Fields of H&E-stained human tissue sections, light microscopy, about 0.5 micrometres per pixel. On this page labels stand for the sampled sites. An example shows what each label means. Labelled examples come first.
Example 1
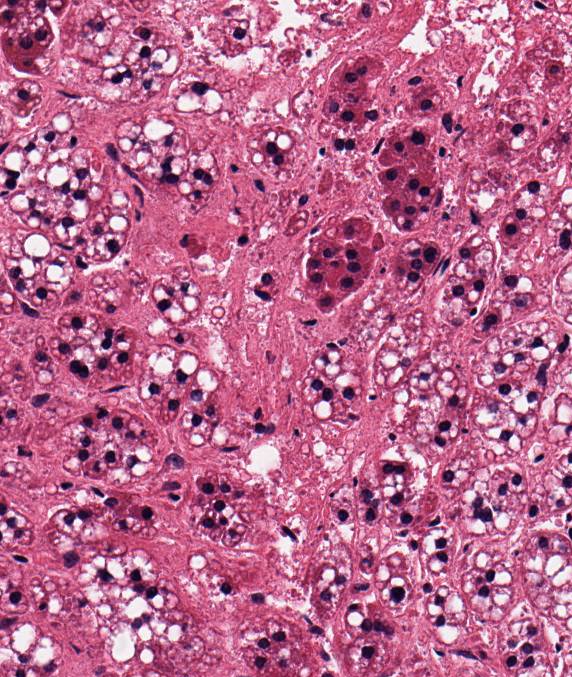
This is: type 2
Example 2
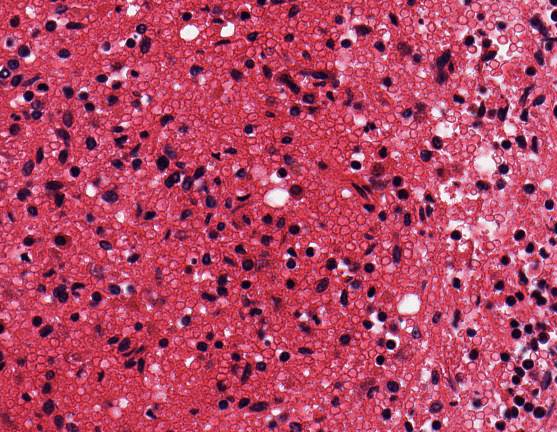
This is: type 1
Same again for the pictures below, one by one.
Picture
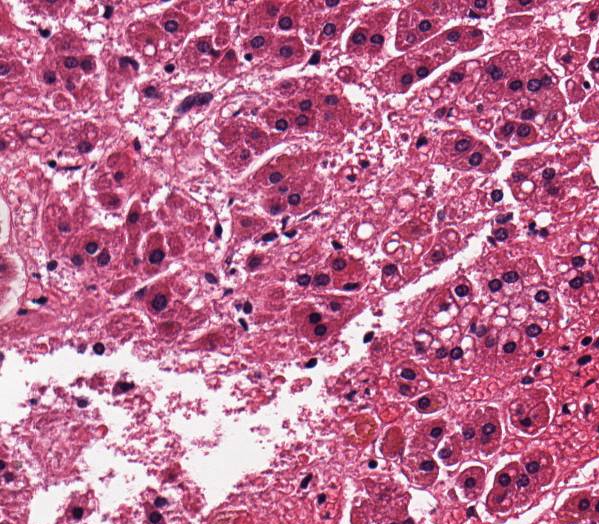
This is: type 2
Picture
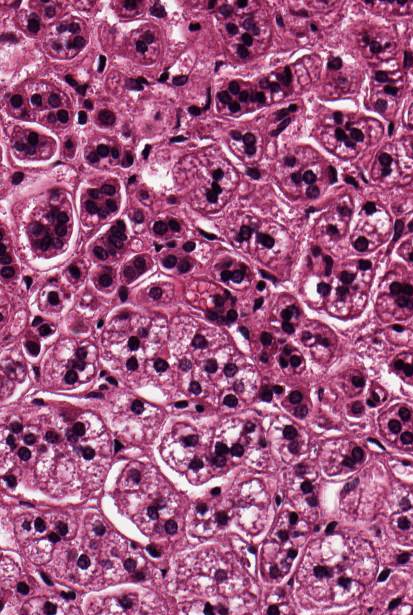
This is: type 2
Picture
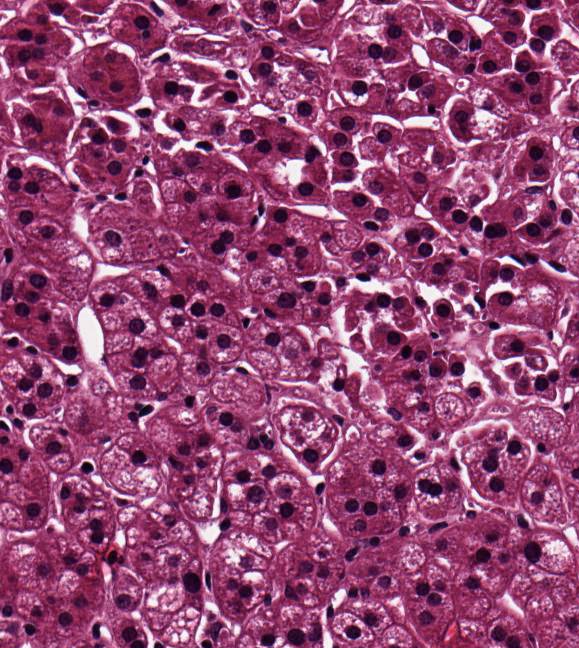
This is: type 2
